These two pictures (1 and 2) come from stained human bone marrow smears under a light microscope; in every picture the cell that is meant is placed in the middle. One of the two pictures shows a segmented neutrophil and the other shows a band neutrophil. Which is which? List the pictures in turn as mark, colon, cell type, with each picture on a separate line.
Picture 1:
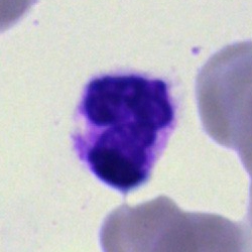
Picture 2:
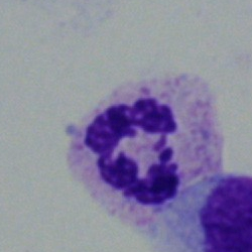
1: band neutrophil
2: segmented neutrophil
